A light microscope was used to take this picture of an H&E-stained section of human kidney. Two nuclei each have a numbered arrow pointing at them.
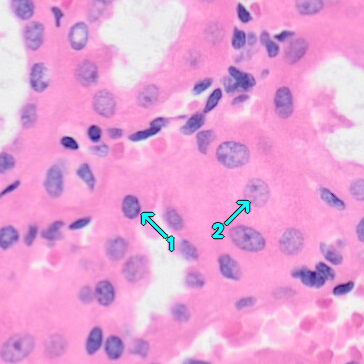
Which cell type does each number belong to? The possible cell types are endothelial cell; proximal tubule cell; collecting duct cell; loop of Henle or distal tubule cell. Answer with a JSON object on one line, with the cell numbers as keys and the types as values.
{"1": "loop of Henle or distal tubule cell", "2": "proximal tubule cell"}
